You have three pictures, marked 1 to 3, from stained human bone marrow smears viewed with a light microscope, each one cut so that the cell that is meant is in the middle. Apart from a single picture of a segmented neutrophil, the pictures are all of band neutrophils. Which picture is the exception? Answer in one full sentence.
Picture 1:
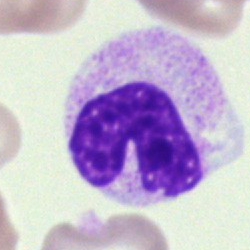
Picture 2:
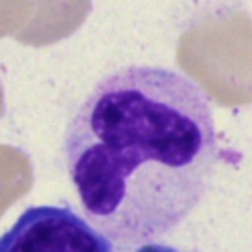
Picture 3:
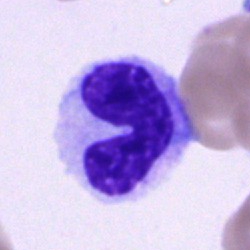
The cell in picture 2 is the segmented neutrophil.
